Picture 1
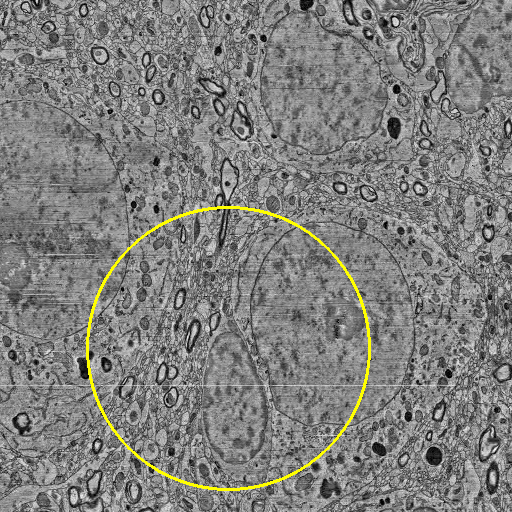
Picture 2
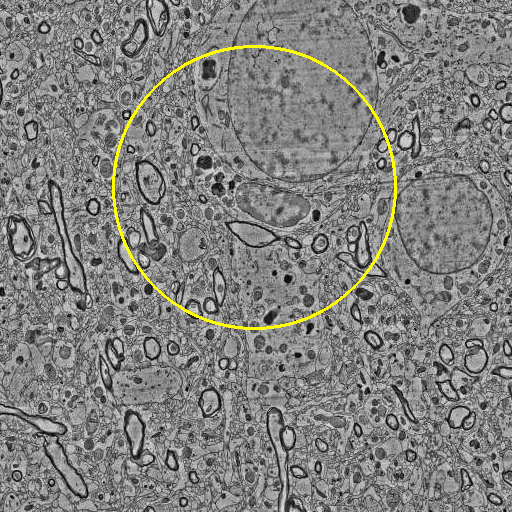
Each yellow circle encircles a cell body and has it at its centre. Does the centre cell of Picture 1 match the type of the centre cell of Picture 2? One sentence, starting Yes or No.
No, the cell centred in Picture 1 and the one in Picture 2 have separate types.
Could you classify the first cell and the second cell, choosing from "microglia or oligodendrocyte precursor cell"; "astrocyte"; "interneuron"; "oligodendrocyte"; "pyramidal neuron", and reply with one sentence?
The second cell is a microglial cell or oligodendrocyte precursor cell, while the first is an oligodendrocyte.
